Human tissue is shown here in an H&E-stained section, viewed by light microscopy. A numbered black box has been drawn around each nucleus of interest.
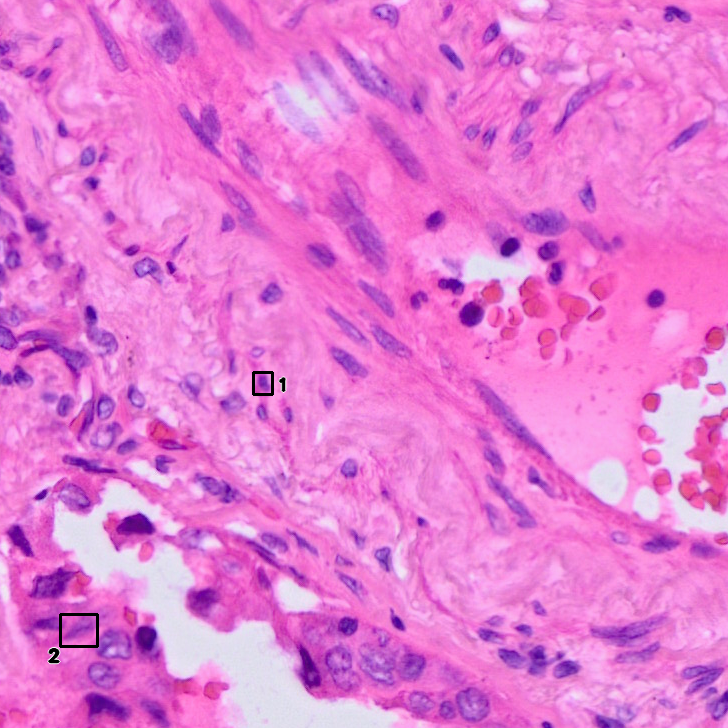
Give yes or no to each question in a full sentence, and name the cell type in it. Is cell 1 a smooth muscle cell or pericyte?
Yes, number 1 in this section denotes a smooth muscle cell or pericyte.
